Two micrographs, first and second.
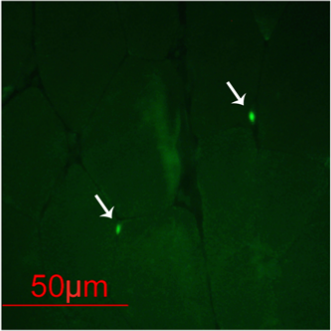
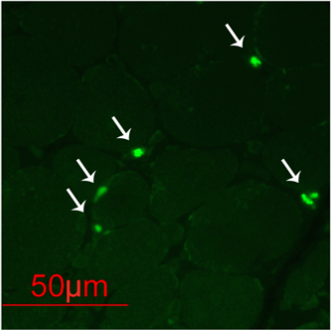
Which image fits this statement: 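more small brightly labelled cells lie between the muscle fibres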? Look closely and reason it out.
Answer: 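The second image. First image: only two small bright green cells are marked between the fibres. Second image: about five small bright green cells are marked between the fibres.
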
